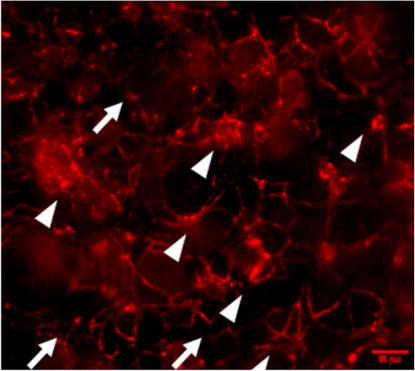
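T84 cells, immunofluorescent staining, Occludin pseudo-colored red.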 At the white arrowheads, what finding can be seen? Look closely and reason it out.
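Arrowheads point to bright red clumps and dots. The red outlines between cells are fragmented rather than continuous. That points to this answer: Aggregates.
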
